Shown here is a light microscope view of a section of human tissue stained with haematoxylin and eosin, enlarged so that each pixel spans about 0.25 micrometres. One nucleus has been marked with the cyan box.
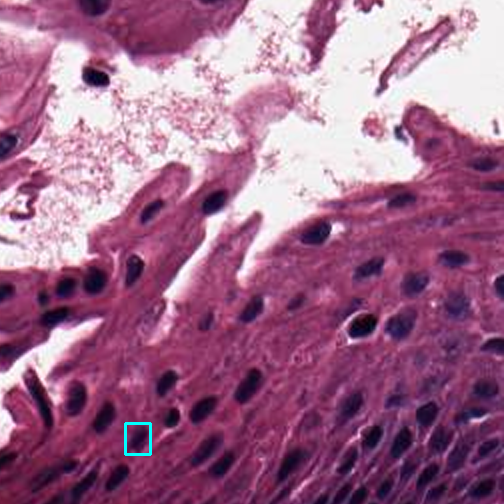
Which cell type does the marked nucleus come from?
squamous epithelial cell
